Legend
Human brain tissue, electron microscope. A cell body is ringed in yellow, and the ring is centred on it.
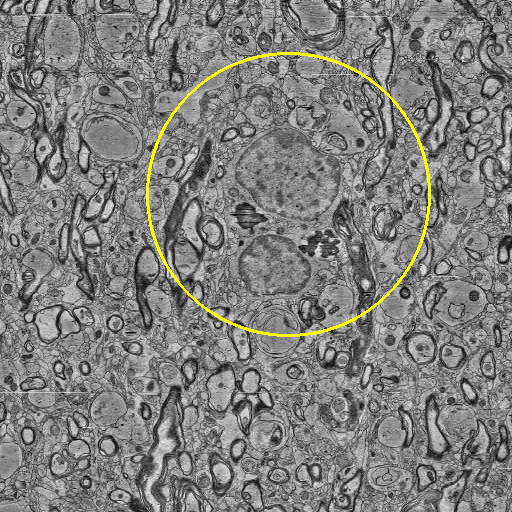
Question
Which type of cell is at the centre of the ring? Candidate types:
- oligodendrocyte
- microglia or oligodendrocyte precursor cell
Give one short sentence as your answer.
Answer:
The yellow ring is centred here on an oligodendrocyte.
